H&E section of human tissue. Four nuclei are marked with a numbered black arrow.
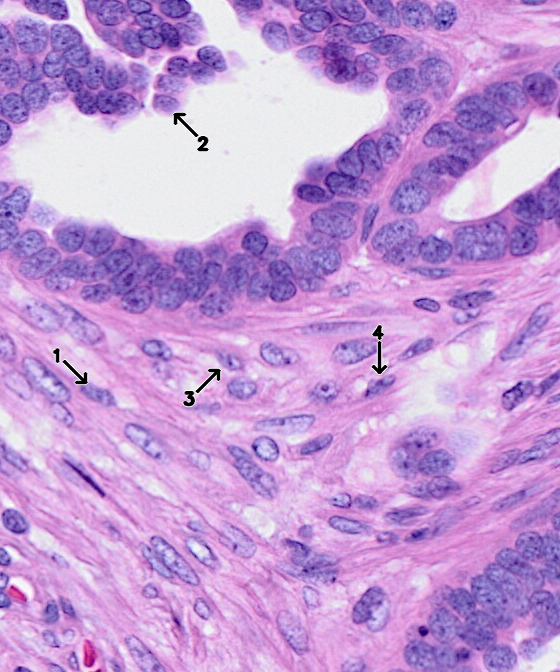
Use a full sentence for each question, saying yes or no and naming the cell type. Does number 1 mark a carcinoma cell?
No, the cell indicated by 1 is a fibroblast instead of a carcinoma cell.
